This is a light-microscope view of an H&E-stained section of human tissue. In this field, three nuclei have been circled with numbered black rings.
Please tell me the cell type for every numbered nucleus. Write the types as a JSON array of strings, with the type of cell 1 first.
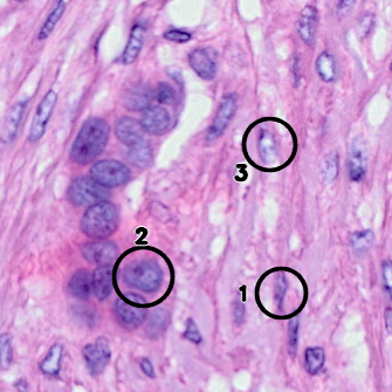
["fibroblast", "carcinoma cell", "fibroblast"]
